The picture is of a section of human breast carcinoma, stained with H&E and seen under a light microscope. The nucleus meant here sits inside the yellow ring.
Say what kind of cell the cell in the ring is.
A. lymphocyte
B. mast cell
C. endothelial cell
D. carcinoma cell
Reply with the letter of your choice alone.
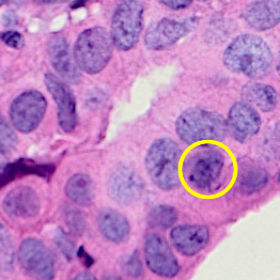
D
